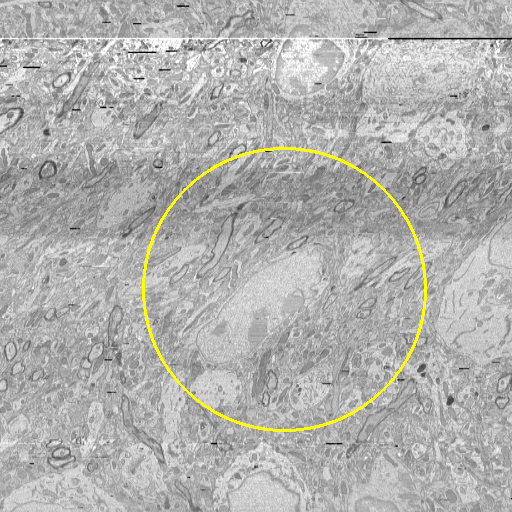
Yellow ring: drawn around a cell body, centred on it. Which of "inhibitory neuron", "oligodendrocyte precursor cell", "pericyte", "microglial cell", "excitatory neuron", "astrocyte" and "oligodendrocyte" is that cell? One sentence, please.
That cell body is from an oligodendrocyte precursor cell.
